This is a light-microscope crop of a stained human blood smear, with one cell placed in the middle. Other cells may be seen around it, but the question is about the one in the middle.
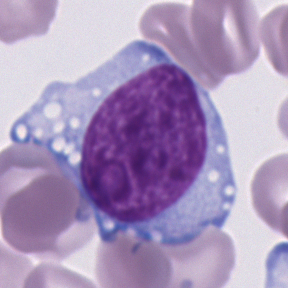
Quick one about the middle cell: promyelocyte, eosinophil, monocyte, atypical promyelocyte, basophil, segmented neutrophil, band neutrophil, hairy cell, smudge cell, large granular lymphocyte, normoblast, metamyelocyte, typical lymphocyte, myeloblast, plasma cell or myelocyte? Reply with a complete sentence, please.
The cell of interest, in the center, is a myeloblast.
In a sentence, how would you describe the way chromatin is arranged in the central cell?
The chromatin shows a fine pattern without coarse clumps.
